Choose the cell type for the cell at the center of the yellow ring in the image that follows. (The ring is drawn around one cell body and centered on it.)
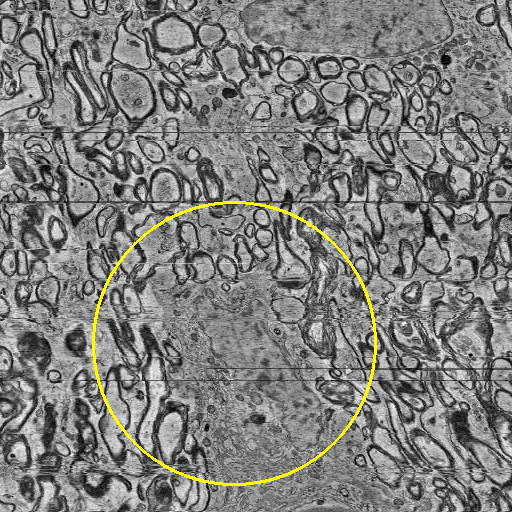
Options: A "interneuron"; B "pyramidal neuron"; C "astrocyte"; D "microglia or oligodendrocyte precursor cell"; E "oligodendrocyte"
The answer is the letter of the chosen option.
C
